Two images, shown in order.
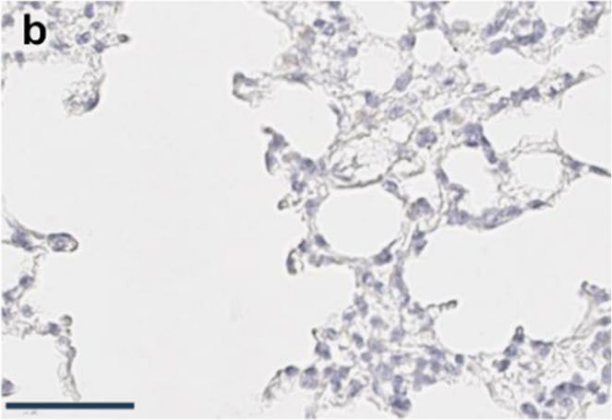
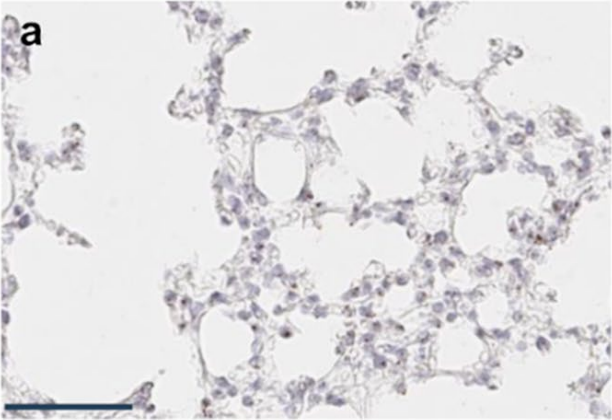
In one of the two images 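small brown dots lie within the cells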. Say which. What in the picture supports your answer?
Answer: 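The second image. First image: the cells show only blue nuclei without brown dots. Second image: many cells in the septa carry small dark brown dots.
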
